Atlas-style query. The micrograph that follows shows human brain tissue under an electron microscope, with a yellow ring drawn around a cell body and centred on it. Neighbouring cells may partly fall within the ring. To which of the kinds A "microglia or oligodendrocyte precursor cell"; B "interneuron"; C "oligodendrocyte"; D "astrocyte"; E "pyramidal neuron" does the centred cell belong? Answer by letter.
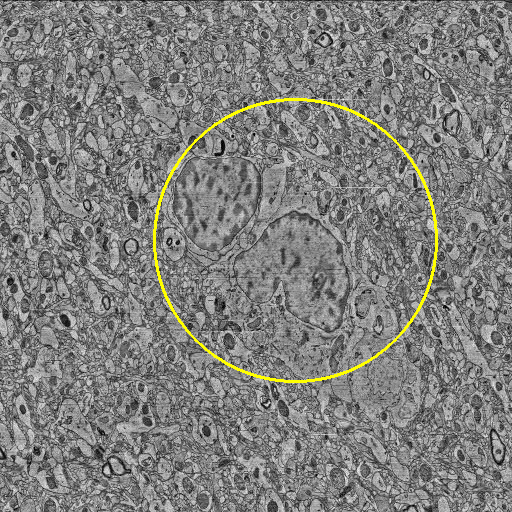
A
